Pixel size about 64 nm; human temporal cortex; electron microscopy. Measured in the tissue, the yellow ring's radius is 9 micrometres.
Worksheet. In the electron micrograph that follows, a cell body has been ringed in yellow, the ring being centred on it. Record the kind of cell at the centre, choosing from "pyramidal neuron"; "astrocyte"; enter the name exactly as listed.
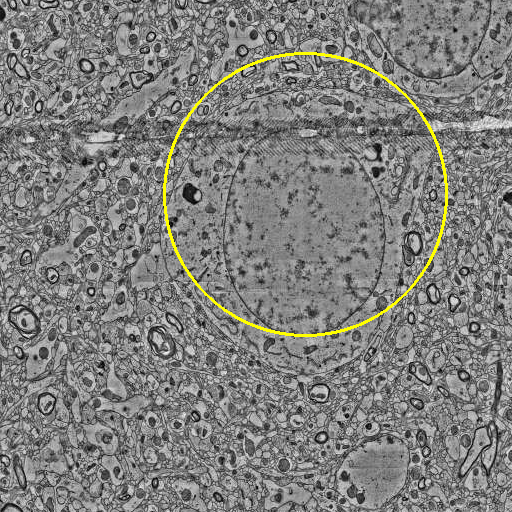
pyramidal neuron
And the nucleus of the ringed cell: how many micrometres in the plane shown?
In this plane the nucleus measures roughly 14 by 10 micrometres.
